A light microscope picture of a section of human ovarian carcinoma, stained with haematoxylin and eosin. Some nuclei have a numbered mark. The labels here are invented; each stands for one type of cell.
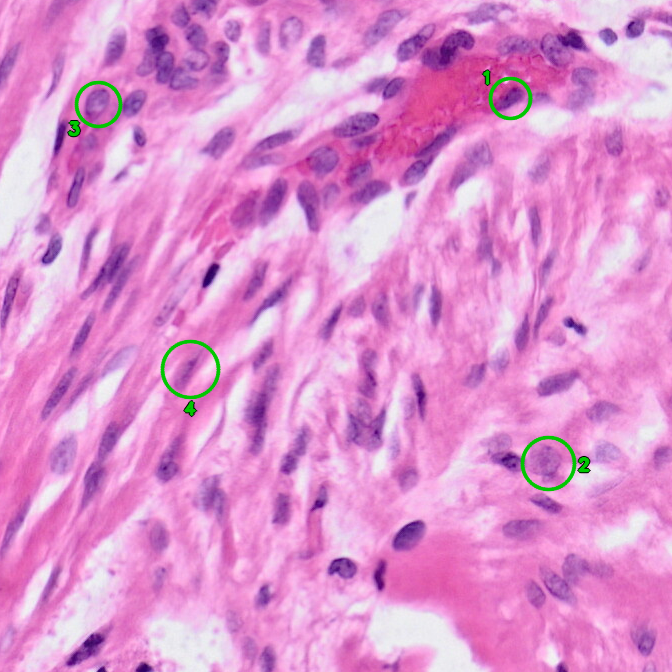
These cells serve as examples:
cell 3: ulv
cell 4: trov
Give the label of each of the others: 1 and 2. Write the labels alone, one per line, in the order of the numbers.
ulv
trov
